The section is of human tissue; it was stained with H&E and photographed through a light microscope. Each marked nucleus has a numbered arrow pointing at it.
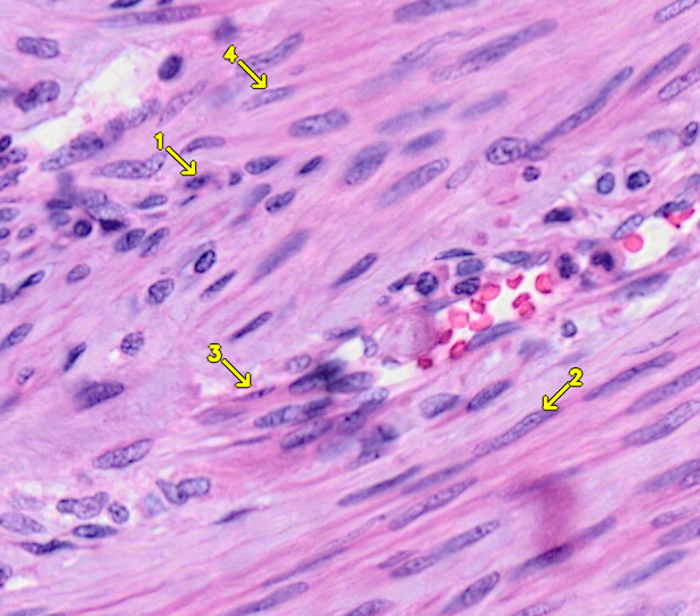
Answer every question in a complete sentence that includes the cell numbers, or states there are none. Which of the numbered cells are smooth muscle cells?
Within the section, cells numbered 1, 2 and 4 are smooth muscle cells.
